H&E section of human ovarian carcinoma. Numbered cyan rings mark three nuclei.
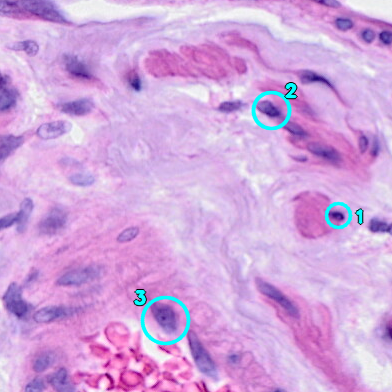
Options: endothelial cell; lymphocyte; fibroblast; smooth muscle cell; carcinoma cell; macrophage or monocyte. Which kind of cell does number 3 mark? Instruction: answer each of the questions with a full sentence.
The numbered cell 3 is identified here as an endothelial cell.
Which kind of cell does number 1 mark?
Heads up, the cell numbered 1 is a smooth muscle cell.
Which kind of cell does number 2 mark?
The label 2 in this section denotes a smooth muscle cell.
